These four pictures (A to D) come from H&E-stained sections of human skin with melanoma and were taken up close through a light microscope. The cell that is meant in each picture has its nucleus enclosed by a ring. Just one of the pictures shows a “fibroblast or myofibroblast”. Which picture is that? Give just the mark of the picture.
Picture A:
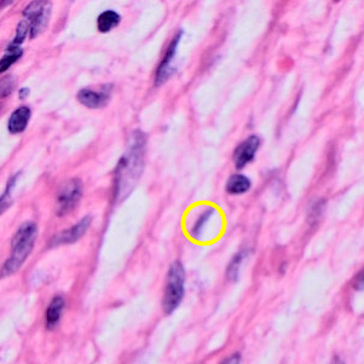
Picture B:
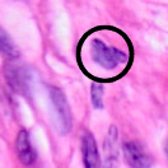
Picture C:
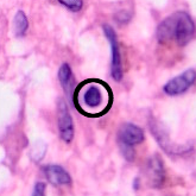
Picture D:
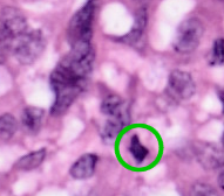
A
